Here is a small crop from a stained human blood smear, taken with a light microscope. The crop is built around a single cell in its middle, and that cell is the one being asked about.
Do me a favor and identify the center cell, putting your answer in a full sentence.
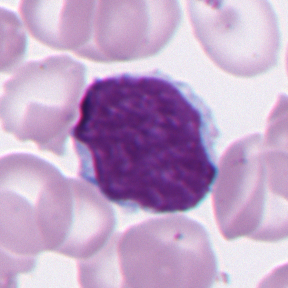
The cell at the middle of the frame should be recorded as a typical lymphocyte.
